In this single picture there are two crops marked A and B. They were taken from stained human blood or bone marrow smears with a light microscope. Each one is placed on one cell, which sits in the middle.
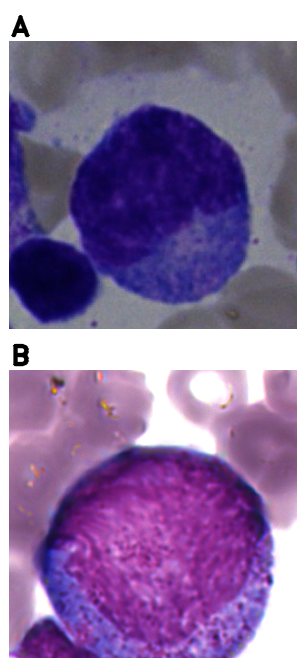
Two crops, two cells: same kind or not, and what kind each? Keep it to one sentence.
Yes, the crops both have promyelocytes in the middle.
